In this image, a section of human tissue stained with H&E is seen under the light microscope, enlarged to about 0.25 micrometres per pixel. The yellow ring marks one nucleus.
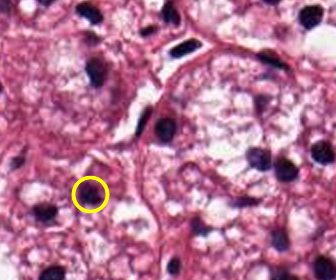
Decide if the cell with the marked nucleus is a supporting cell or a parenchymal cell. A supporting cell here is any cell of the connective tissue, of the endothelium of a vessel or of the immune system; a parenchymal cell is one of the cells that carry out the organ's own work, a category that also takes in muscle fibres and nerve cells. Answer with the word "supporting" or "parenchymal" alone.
parenchymal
